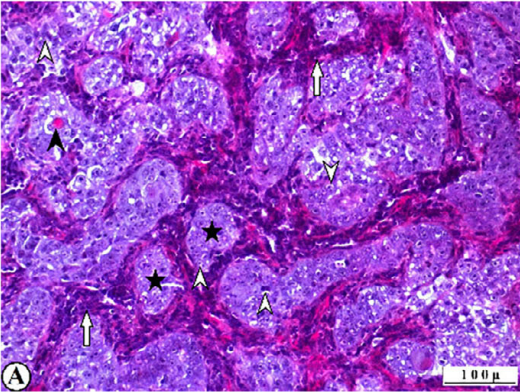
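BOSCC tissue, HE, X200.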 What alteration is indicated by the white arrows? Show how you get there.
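Dark bands between the epithelial nests. Bands densely packed with small dark nuclei. On this evidence: inflammatory cell infiltration in fibrovascular stroma.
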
